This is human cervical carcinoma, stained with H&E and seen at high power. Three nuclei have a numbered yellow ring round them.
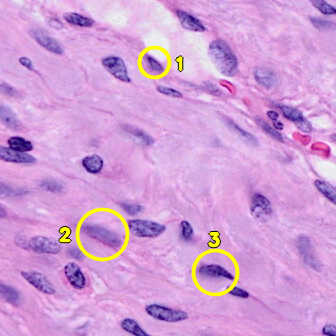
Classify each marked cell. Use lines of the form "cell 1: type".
cell 1: endothelial cell
cell 2: smooth muscle cell
cell 3: fibroblast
